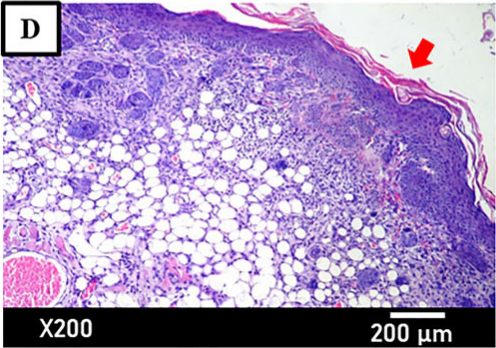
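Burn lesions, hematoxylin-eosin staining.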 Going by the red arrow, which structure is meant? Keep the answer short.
Corneal layer.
